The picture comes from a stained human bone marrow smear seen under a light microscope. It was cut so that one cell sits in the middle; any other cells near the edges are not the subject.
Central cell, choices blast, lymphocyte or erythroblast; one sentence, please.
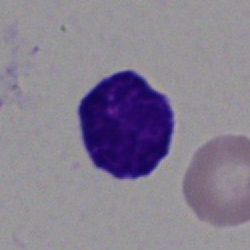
The cell centred in this crop is categorized as a blast.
